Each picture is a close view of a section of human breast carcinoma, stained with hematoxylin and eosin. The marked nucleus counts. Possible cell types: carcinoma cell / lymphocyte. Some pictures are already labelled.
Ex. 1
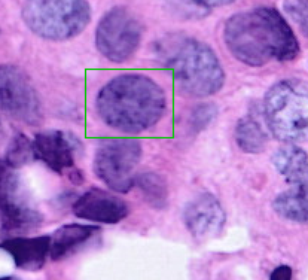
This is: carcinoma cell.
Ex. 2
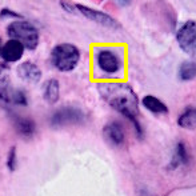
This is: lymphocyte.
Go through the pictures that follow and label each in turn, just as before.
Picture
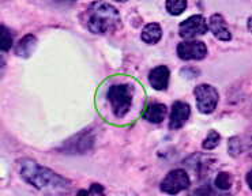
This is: lymphocyte.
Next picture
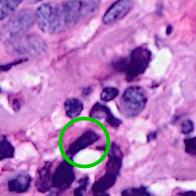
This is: carcinoma cell.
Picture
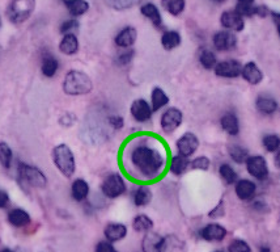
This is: lymphocyte.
